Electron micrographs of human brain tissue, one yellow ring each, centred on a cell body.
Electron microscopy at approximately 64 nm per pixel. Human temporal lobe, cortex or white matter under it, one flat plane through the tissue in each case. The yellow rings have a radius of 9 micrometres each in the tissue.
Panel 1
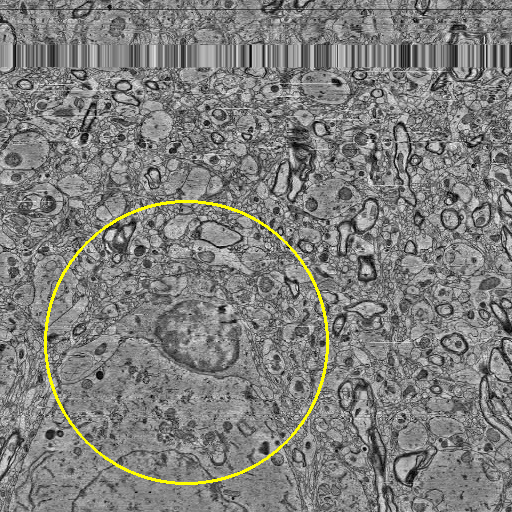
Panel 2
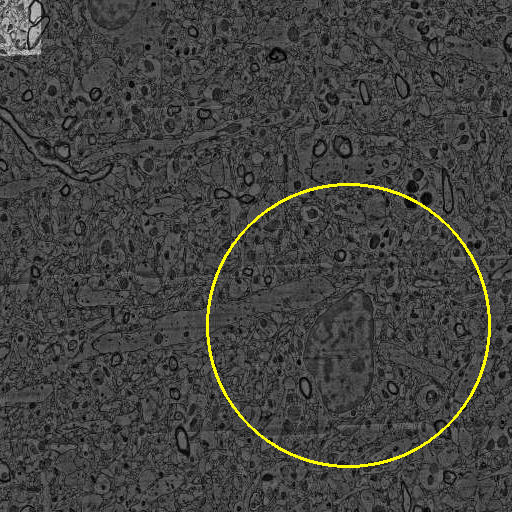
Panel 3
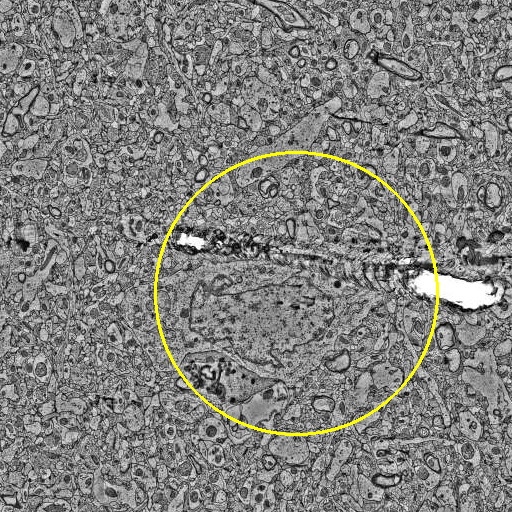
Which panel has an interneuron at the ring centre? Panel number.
3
